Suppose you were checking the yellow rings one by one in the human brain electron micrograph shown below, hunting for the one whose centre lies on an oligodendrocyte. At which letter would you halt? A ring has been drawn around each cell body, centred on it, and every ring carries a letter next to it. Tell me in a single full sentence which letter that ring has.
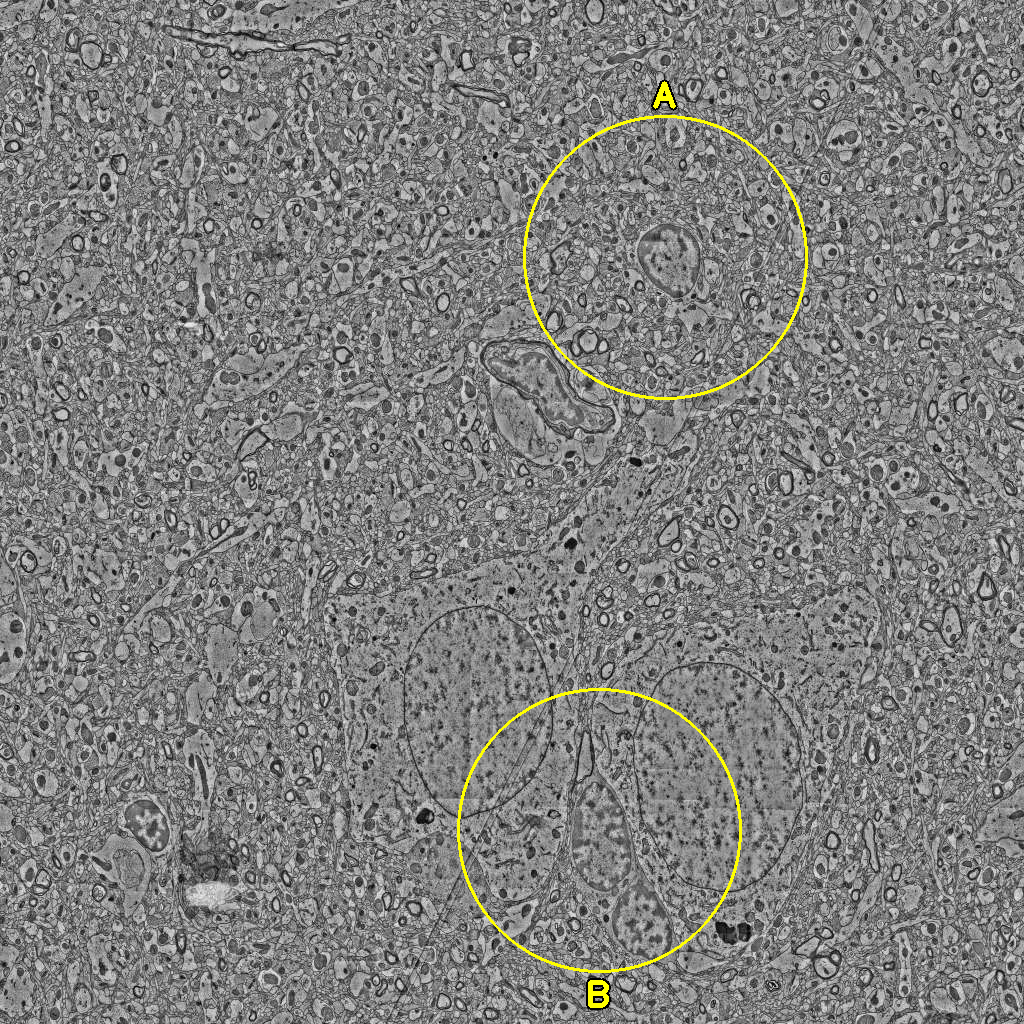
Going through the rings, I would stop at ring B, the one centred on the cell asked for.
